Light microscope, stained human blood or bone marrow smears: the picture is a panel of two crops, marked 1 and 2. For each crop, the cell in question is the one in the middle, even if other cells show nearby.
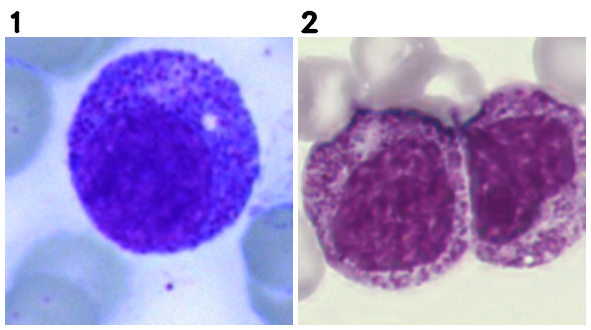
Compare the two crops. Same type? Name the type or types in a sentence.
No, crop 1 shows a promyelocyte, with a myelocyte shown in crop 2.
